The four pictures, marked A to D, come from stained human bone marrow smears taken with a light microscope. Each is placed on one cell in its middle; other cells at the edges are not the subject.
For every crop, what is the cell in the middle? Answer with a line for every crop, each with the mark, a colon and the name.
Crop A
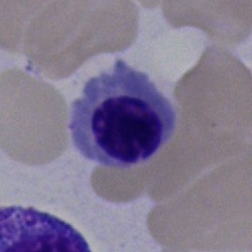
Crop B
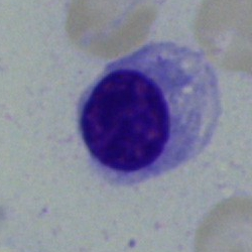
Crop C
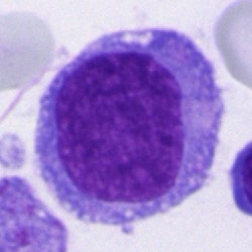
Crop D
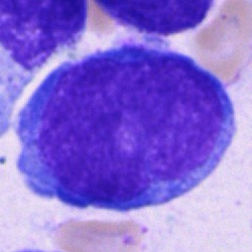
A: normoblast
B: normoblast
C: blast
D: blast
